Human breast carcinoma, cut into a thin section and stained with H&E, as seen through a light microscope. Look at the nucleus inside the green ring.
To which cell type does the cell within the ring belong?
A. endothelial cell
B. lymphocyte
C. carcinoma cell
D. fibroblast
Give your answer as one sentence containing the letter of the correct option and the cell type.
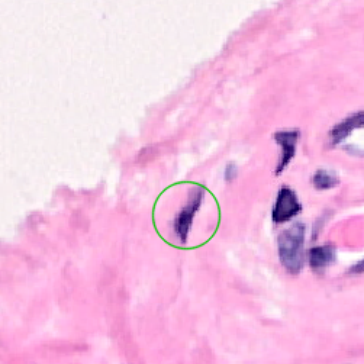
The choice that fits is option D, as the cell within the ring is a fibroblast.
